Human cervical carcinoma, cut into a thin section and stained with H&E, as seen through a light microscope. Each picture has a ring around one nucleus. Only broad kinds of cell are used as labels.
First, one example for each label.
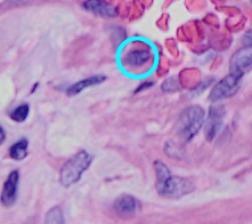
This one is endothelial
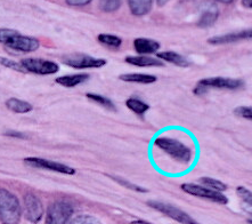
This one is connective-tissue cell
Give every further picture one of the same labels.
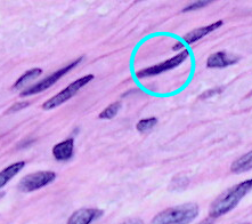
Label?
connective-tissue cell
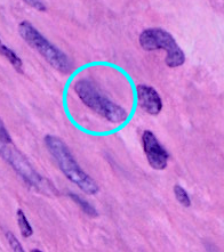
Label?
connective-tissue cell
